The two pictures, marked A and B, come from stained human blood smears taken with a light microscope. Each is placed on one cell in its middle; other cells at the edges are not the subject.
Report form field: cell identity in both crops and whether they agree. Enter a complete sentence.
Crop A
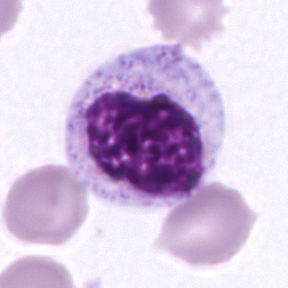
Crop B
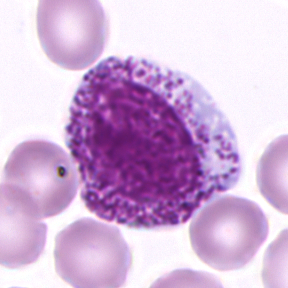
No, at the centre of crop A is a metamyelocyte, and at the centre of crop B is a myelocyte.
